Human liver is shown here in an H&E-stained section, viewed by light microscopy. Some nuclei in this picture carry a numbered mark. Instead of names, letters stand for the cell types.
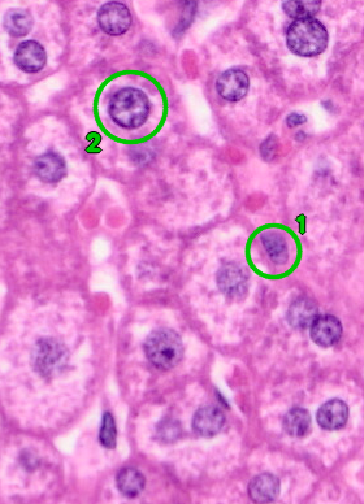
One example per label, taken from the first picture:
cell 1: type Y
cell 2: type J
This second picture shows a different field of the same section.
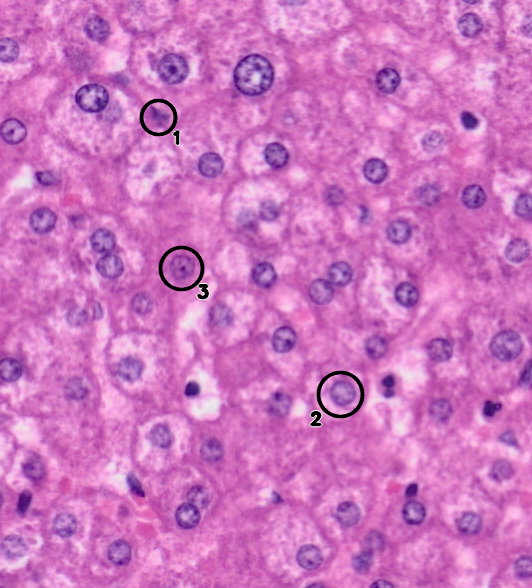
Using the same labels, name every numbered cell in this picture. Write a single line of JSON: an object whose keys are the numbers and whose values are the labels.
{"1": "type Y", "2": "type J", "3": "type J"}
